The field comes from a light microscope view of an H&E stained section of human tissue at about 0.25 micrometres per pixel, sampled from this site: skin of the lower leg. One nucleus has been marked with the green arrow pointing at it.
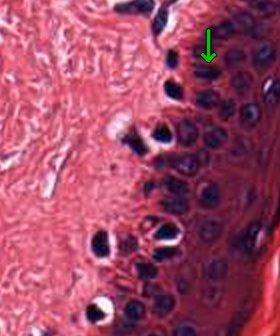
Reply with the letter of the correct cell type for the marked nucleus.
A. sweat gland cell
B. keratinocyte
B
